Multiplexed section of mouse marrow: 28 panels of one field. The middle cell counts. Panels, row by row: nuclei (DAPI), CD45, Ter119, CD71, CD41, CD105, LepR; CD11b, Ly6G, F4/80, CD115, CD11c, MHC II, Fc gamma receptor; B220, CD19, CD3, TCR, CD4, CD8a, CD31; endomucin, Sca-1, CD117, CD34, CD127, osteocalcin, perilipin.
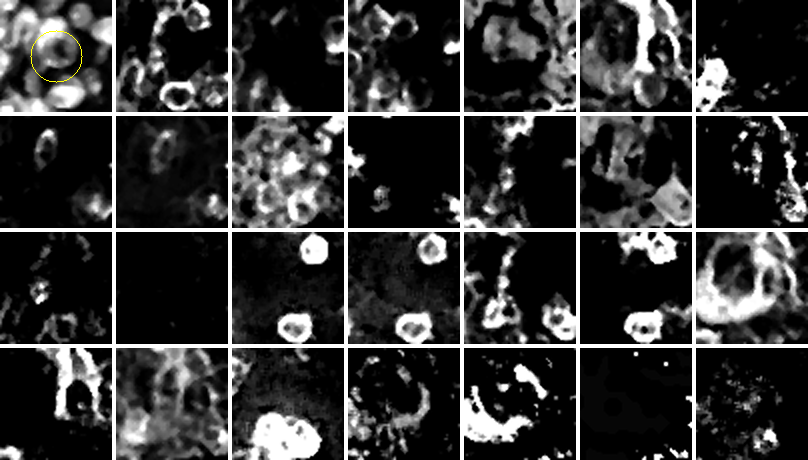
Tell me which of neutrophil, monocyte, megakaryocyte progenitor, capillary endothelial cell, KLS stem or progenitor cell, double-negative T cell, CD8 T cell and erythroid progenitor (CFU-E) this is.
The picture shows a KLS stem or progenitor cell.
